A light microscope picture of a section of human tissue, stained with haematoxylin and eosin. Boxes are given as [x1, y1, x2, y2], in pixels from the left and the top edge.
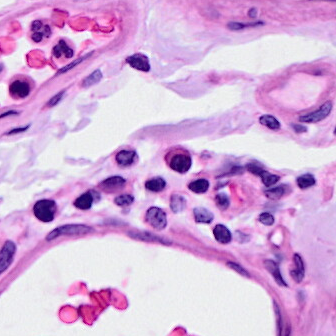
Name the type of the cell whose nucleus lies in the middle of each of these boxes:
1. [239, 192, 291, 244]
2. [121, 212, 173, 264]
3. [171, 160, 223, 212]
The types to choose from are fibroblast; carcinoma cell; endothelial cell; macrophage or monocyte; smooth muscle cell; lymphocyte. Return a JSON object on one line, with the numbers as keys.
{"1": "lymphocyte", "2": "endothelial cell", "3": "lymphocyte"}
